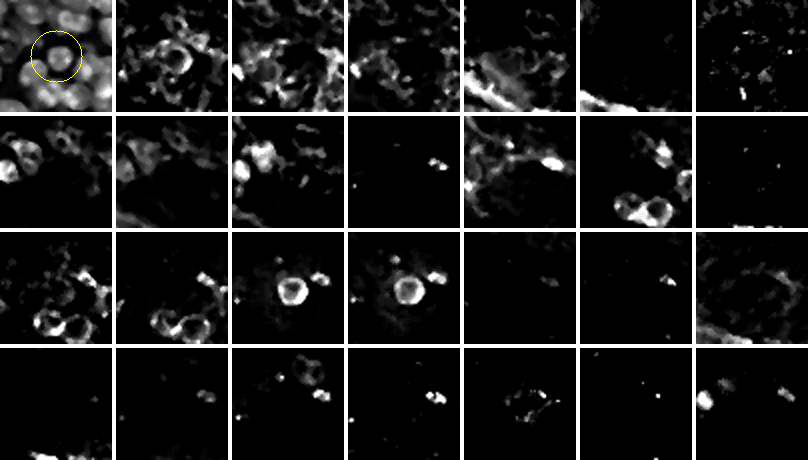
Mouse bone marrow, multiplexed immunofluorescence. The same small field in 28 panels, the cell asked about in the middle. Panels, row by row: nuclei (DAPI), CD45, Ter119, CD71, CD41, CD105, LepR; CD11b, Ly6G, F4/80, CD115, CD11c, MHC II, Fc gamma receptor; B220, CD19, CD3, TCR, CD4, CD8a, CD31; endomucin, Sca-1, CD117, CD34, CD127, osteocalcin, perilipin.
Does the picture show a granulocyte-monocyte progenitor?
No, it shows a double-negative T cell.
